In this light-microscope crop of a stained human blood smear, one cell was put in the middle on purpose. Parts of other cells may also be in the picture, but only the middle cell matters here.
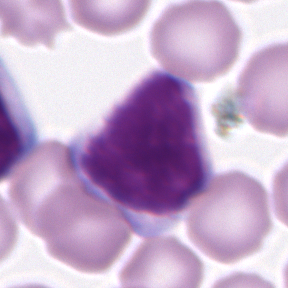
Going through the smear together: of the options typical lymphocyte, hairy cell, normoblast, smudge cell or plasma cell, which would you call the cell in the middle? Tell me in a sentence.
The cell the crop is centered on is a typical lymphocyte.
